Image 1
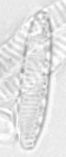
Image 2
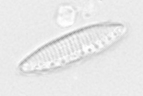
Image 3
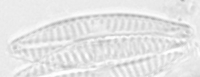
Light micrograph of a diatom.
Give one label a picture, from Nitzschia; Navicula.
(1) Nitzschia
(2) Nitzschia
(3) Navicula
